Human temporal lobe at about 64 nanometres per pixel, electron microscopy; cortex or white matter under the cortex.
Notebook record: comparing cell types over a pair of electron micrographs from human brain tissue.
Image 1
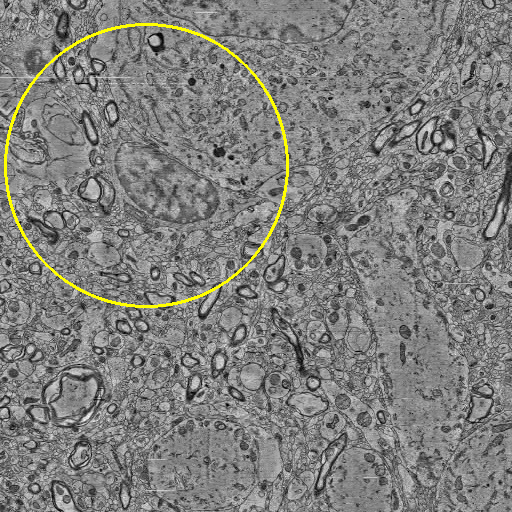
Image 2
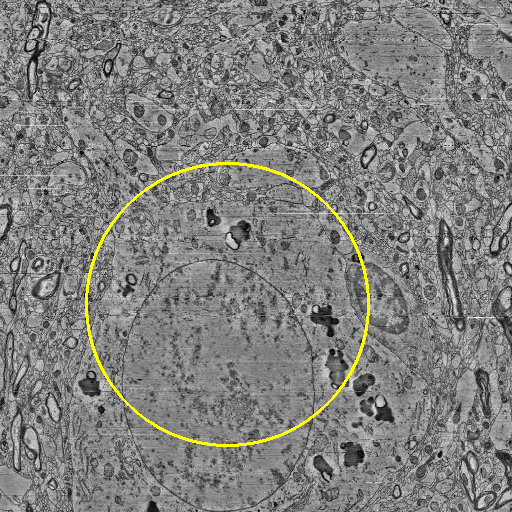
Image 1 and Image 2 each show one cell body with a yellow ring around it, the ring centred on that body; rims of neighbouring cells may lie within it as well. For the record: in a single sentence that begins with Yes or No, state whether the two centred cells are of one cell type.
No, two cell types are found among the centred cells of Image 1 and Image 2.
